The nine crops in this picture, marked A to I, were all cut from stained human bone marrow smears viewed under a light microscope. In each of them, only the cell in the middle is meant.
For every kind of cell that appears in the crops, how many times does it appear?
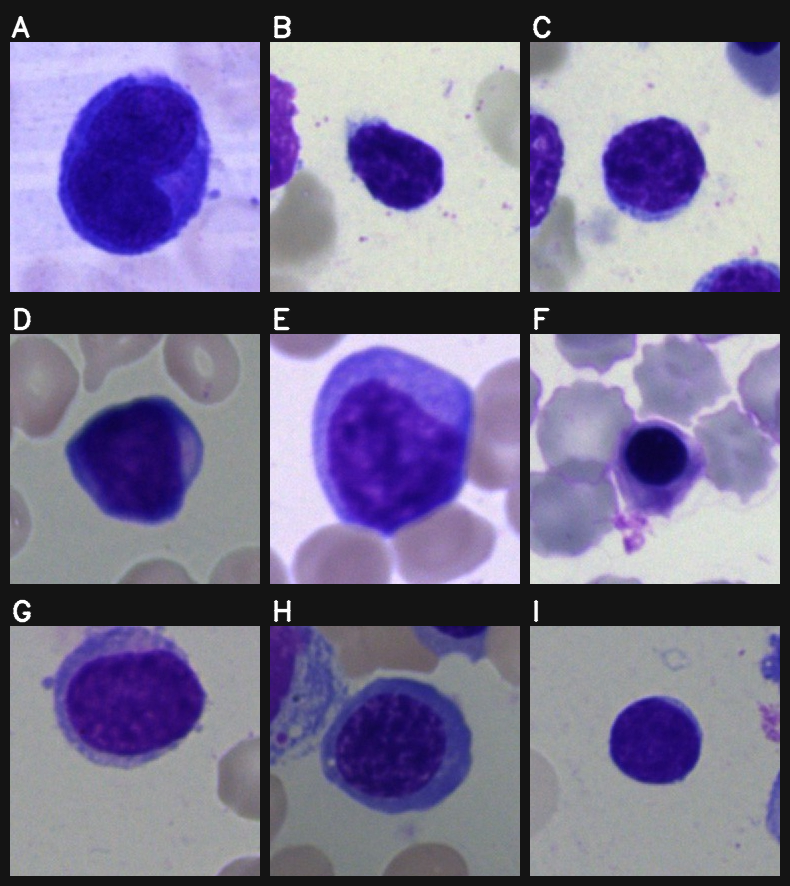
lymphocyte: 4
blast: 3
erythroblast: 2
